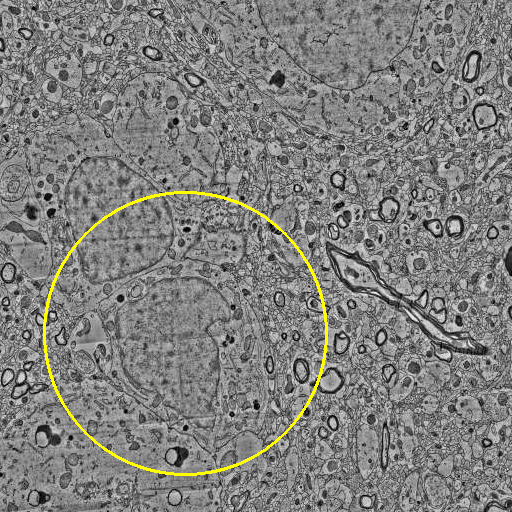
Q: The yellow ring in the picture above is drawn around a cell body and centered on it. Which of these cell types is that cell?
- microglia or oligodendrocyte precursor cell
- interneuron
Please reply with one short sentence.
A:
The cell body at the ring's center belongs to an interneuron.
